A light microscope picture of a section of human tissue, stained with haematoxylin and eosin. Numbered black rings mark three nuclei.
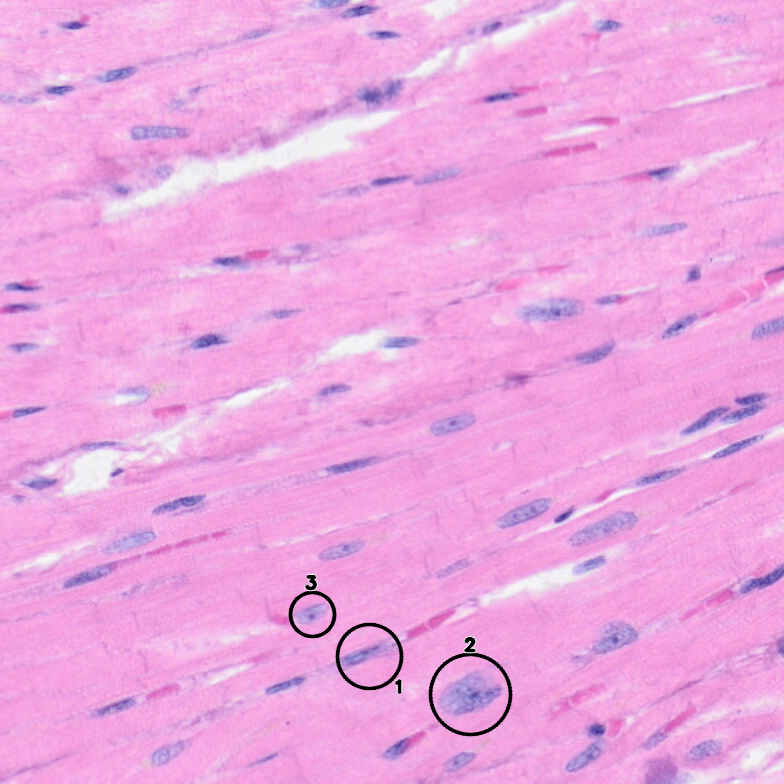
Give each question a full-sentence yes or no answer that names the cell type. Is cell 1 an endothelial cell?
Yes, the cell referred to as number 1 is an endothelial cell.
